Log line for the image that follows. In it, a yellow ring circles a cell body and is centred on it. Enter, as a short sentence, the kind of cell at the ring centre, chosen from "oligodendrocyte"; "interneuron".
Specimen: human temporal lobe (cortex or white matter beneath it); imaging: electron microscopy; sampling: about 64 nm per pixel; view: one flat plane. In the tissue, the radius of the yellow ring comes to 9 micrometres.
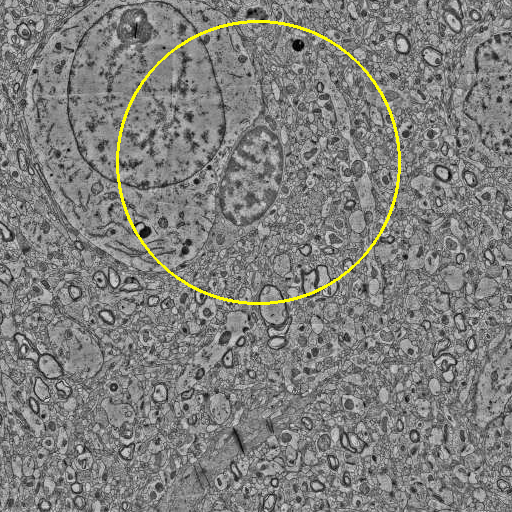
The ring centre is occupied by an oligodendrocyte.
